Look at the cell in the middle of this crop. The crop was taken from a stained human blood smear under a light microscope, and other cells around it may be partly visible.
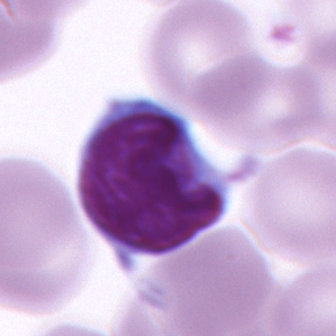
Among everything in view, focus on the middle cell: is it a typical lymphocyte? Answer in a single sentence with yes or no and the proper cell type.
Yes, the cell at the middle of the frame is a typical lymphocyte.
